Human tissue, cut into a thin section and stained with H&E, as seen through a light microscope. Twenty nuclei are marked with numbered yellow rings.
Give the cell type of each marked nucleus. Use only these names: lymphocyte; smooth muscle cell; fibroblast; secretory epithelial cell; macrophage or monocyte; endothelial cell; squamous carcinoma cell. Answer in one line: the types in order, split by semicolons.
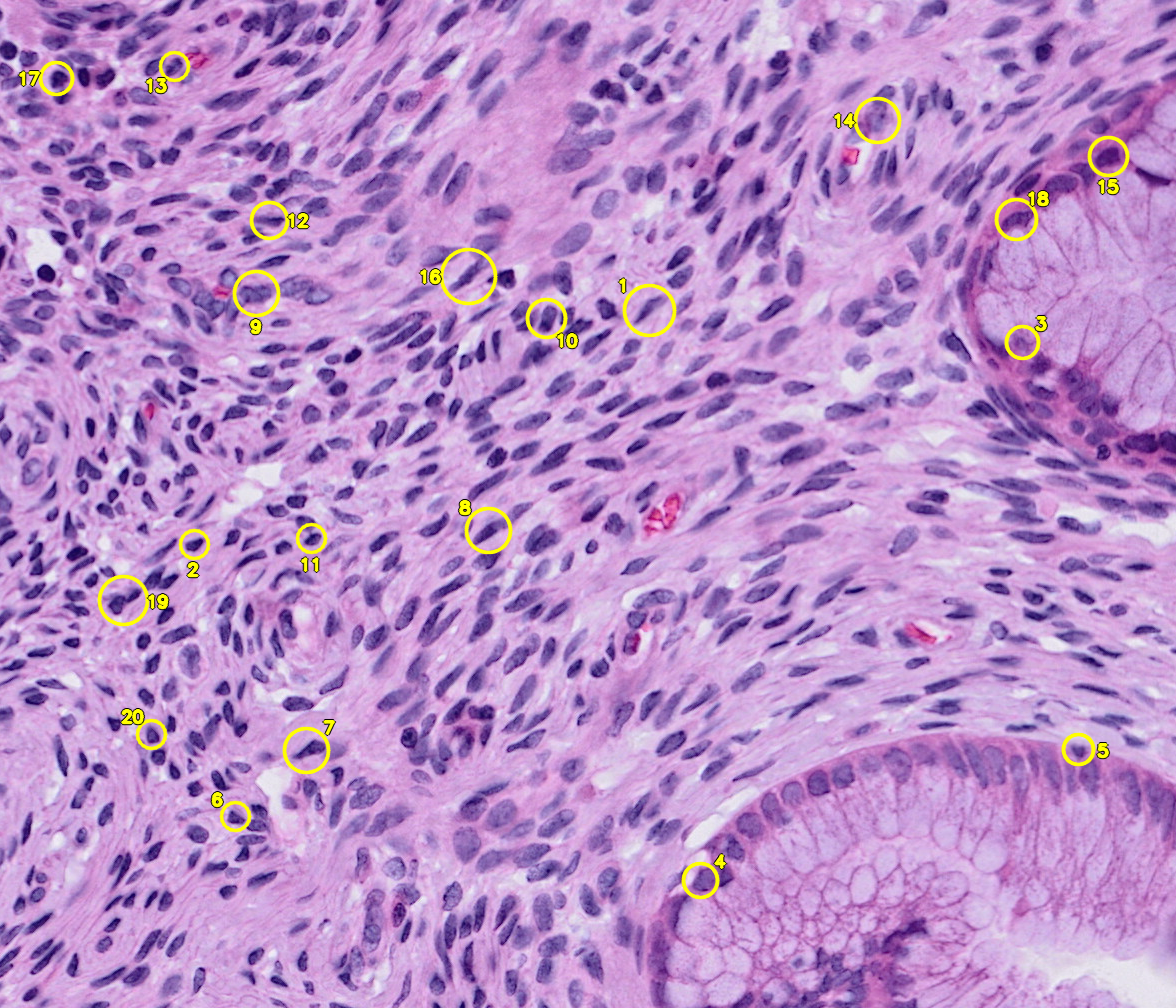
fibroblast; fibroblast; secretory epithelial cell; secretory epithelial cell; secretory epithelial cell; fibroblast; fibroblast; fibroblast; endothelial cell; fibroblast; fibroblast; fibroblast; endothelial cell; endothelial cell; secretory epithelial cell; fibroblast; lymphocyte; secretory epithelial cell; fibroblast; fibroblast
